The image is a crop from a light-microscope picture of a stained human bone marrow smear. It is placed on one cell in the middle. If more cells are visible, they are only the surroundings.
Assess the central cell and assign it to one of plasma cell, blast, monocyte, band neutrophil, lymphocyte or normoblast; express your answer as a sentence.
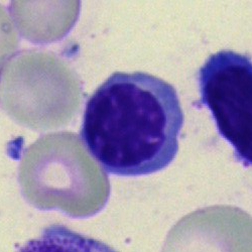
Classified as a normoblast is the cell in the middle of this crop.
